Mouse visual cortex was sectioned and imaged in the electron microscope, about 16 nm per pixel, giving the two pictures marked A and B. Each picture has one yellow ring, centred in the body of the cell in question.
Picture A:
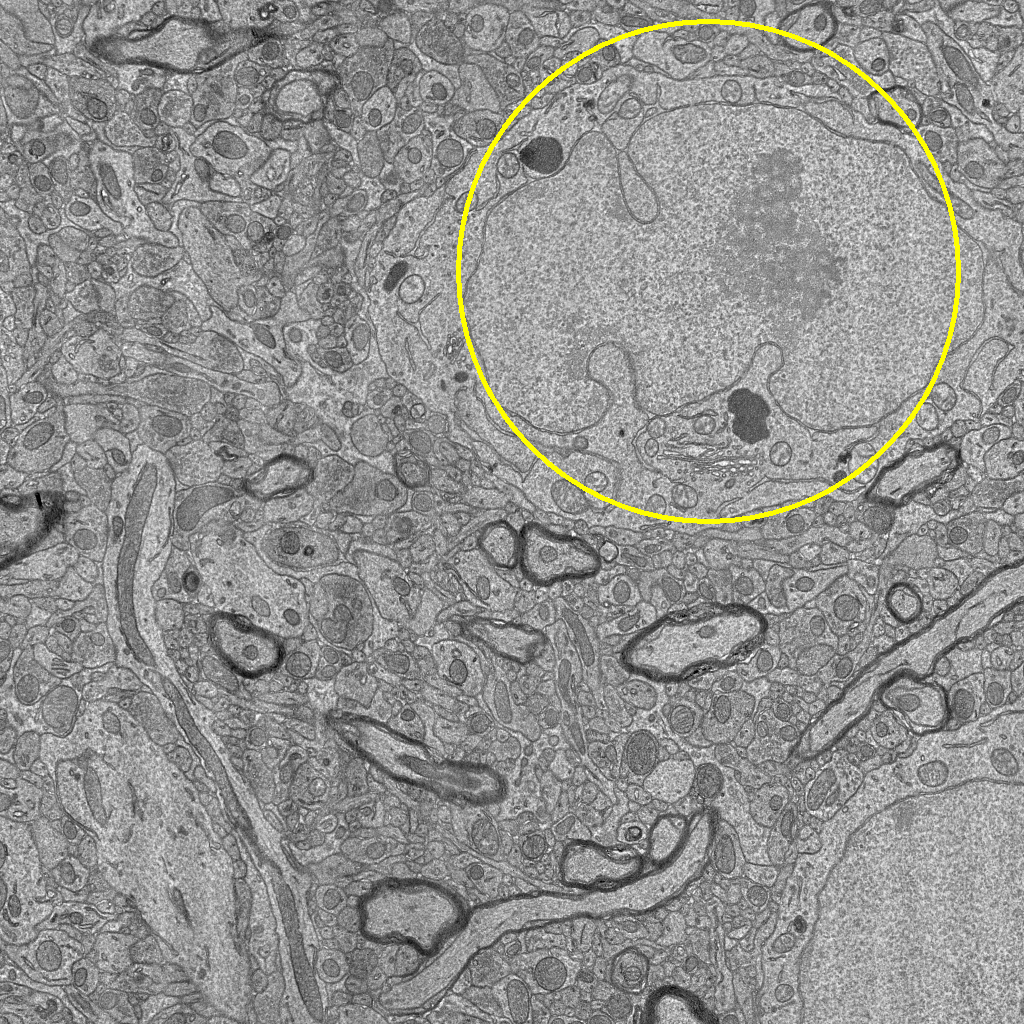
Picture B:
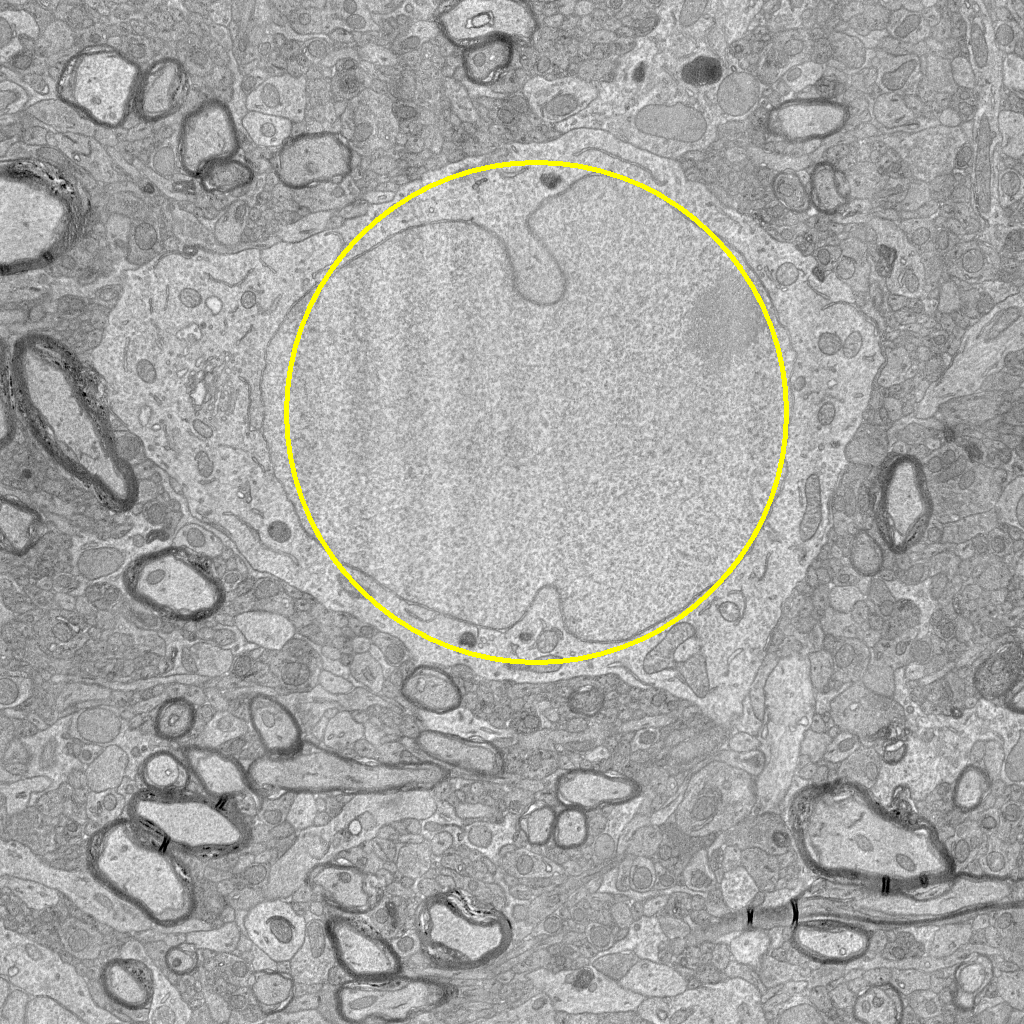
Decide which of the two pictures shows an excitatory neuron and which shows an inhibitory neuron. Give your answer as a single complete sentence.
Picture B shows an excitatory neuron, while picture A shows an inhibitory neuron.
